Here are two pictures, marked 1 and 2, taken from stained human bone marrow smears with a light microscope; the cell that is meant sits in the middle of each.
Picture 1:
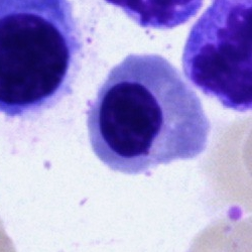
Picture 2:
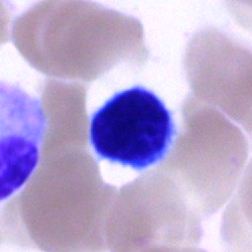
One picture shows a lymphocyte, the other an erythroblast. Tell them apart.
1: erythroblast
2: lymphocyte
